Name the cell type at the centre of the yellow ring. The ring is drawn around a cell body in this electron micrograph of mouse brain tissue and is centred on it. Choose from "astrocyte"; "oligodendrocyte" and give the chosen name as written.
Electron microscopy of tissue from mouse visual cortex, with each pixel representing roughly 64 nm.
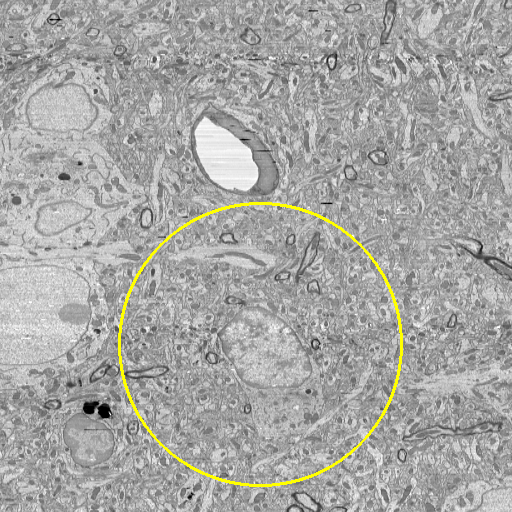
oligodendrocyte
